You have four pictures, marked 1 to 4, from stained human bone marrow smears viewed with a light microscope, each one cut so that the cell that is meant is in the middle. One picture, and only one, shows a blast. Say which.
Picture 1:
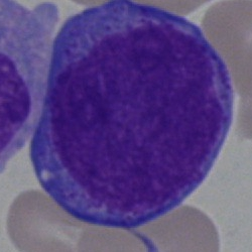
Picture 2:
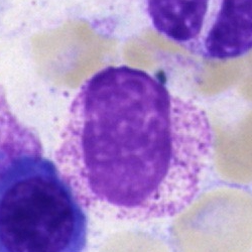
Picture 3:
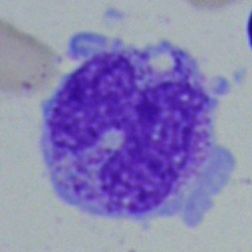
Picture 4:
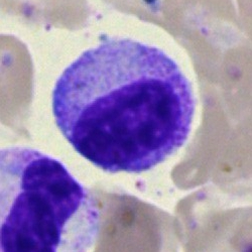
1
